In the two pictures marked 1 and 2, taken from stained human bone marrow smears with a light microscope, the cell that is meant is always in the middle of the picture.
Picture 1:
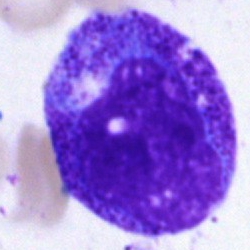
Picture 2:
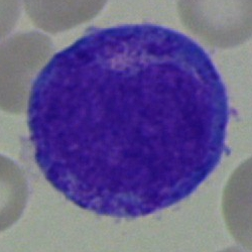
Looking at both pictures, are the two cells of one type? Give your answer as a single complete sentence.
Yes, they are the same type: both are promyelocytes.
